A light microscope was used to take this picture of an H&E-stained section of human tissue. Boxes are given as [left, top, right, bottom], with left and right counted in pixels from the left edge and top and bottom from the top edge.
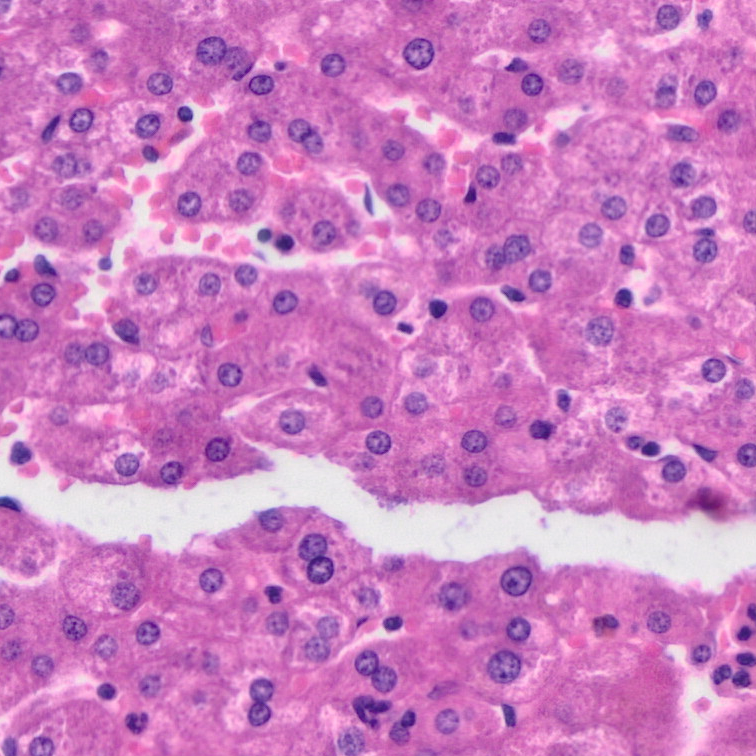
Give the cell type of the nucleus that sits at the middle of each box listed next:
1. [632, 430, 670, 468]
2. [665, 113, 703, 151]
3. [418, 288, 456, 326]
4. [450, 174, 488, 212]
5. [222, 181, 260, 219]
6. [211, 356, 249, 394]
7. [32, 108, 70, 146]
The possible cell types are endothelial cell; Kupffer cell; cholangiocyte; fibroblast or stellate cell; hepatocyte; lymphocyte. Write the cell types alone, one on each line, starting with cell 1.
lymphocyte
Kupffer cell
fibroblast or stellate cell
fibroblast or stellate cell
hepatocyte
hepatocyte
fibroblast or stellate cell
